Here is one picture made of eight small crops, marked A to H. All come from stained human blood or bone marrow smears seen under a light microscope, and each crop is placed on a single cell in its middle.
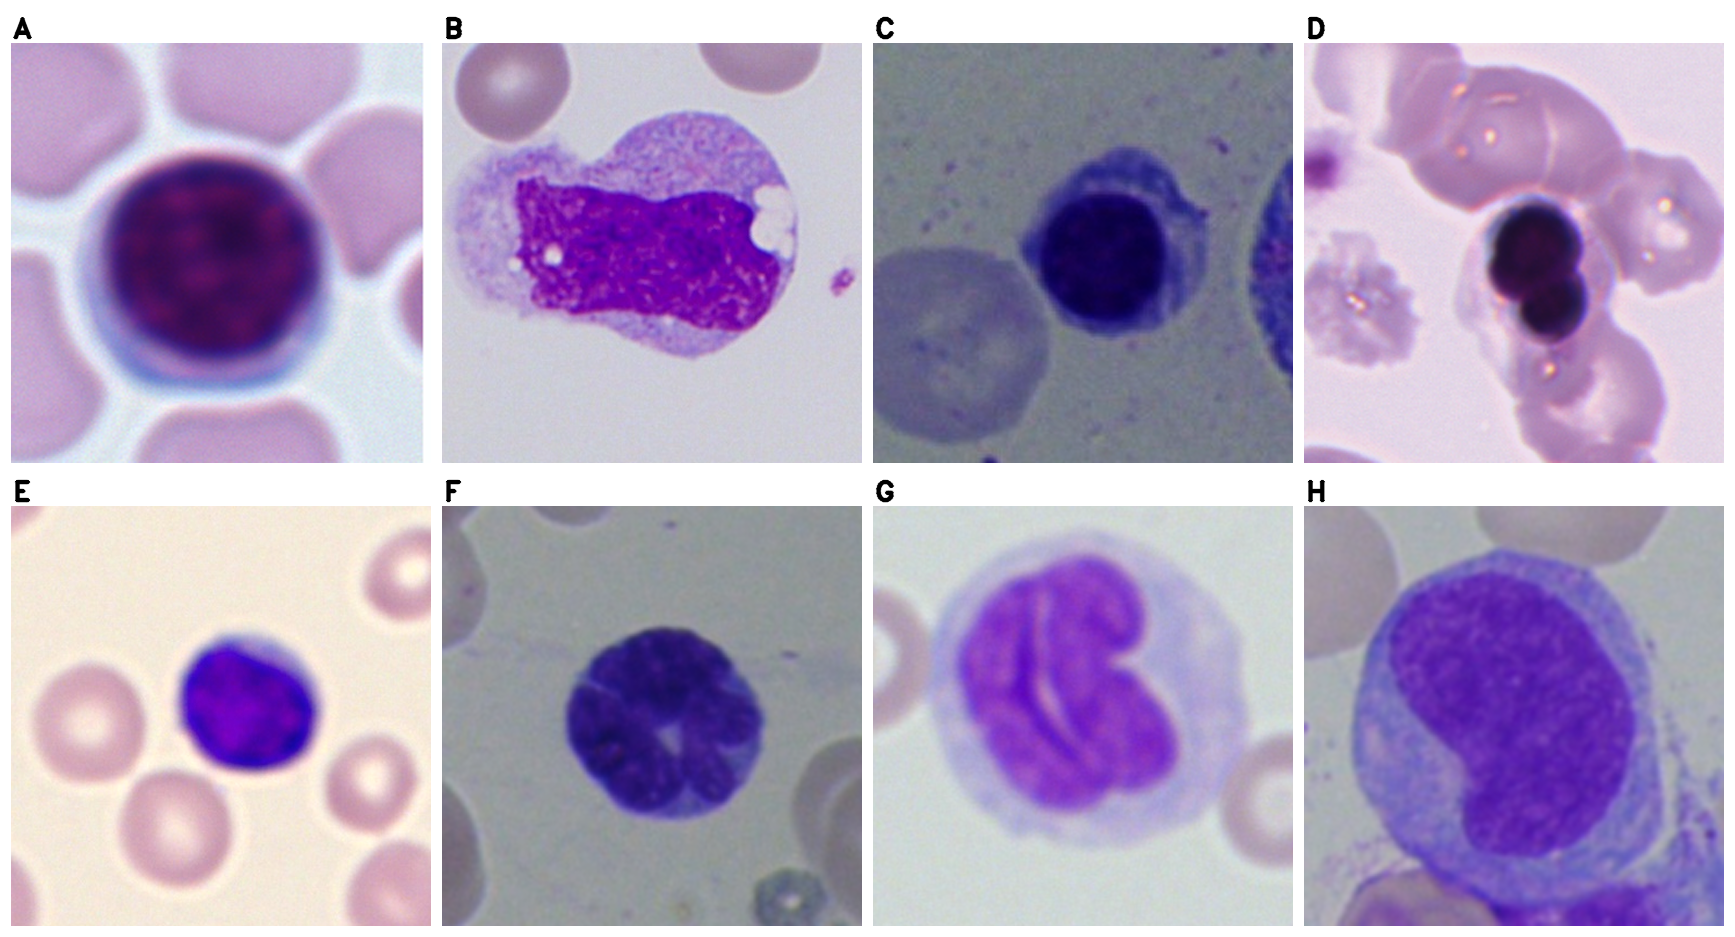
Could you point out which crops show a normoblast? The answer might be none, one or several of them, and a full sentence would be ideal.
Crops C and D hold normoblasts in the centre of the field.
